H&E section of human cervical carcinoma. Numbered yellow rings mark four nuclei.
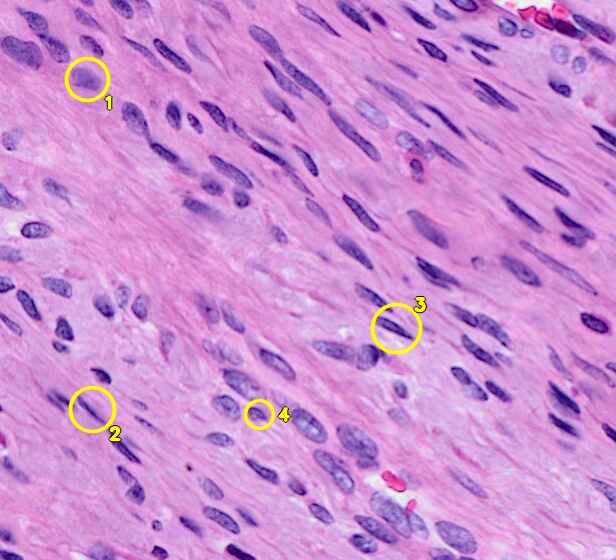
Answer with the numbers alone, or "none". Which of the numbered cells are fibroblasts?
1, 2, 3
